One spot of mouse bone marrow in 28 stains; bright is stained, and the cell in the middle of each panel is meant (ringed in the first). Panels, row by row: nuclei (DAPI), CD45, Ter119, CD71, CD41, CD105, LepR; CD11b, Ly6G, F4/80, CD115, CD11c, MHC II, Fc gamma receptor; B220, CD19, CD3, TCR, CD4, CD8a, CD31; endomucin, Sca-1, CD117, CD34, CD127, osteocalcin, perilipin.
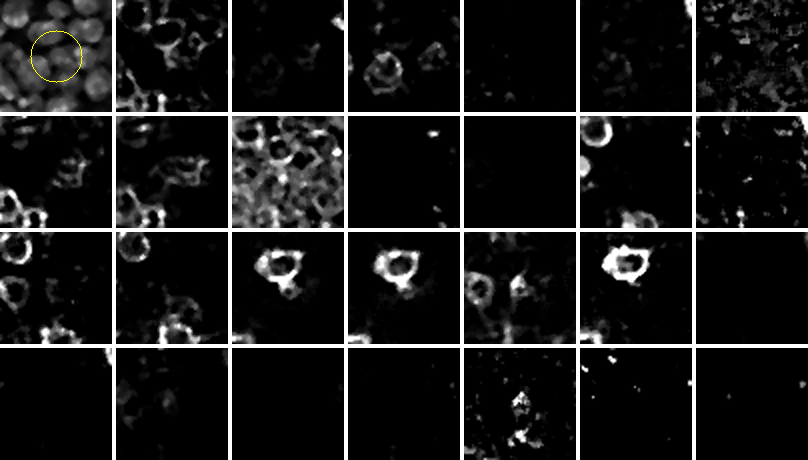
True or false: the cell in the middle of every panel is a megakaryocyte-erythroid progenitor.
False; it is a CD4 T cell.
